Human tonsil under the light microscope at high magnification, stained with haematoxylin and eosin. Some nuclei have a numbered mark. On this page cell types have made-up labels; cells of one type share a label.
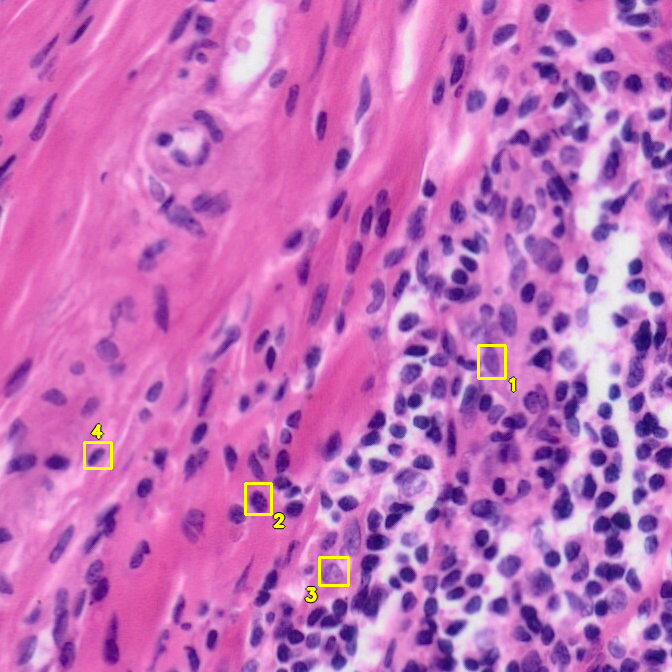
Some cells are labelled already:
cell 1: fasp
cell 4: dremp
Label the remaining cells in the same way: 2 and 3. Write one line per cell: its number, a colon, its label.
2: dremp
3: fasp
